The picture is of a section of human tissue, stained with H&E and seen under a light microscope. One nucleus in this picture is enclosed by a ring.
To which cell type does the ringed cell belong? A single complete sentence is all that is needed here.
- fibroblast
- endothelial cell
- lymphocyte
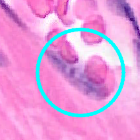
In this tissue sample, the ringed cell is an endothelial cell.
